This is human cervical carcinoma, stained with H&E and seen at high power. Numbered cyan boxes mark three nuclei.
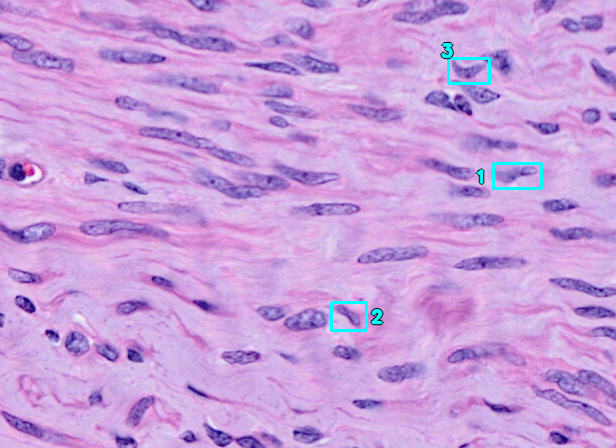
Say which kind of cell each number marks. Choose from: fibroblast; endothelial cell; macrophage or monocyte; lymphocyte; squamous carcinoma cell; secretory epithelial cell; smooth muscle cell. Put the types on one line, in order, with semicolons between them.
fibroblast; smooth muscle cell; fibroblast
